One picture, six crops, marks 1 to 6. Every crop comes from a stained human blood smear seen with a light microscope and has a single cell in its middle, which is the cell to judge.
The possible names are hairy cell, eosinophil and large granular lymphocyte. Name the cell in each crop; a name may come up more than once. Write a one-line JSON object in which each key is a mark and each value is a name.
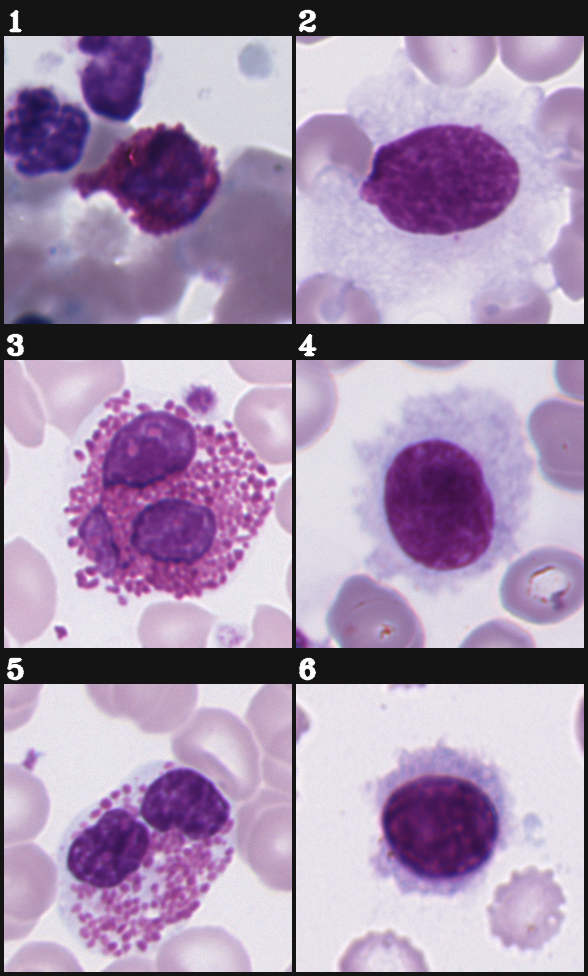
{"1": "eosinophil", "2": "hairy cell", "3": "eosinophil", "4": "hairy cell", "5": "eosinophil", "6": "hairy cell"}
